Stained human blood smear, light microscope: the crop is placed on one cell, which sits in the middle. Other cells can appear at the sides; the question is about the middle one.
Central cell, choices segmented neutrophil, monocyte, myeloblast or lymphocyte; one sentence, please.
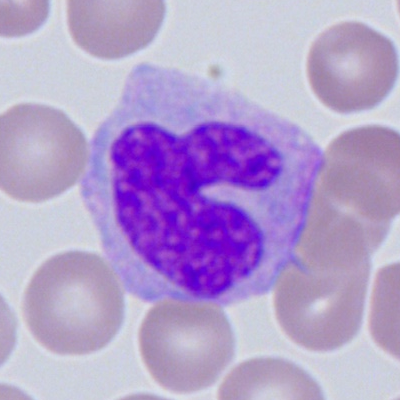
The cell sitting right in the middle is a monocyte.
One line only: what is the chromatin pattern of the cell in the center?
The chromatin pattern is fine and free of coarse clumps.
